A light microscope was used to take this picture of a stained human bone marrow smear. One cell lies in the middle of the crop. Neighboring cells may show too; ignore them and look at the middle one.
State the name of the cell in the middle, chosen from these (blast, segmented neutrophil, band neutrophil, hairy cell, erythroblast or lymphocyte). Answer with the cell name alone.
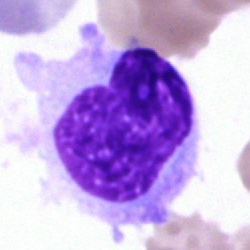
hairy cell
